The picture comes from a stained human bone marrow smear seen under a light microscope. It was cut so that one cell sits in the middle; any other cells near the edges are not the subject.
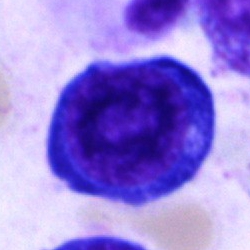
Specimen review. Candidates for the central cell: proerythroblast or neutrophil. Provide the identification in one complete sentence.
Here the cell in the middle is a proerythroblast.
